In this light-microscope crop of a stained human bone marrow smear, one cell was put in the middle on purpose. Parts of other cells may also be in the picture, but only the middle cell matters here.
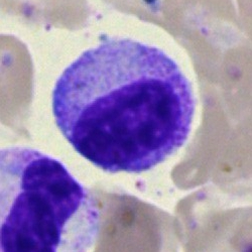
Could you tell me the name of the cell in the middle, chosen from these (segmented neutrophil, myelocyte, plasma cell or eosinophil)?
myelocyte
